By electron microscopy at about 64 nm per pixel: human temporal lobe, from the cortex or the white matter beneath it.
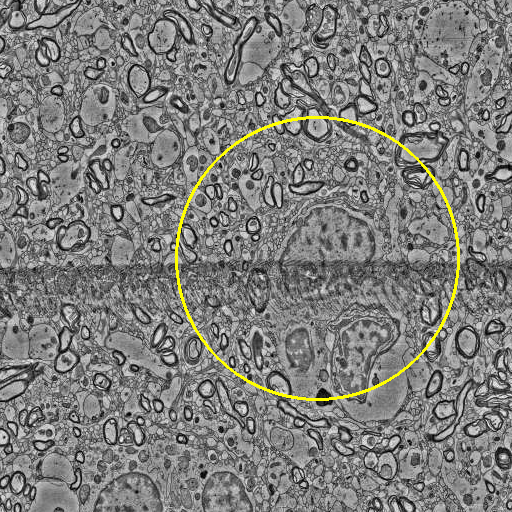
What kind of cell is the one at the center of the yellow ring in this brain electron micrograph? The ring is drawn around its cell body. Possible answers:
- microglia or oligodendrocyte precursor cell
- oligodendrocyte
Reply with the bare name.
oligodendrocyte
